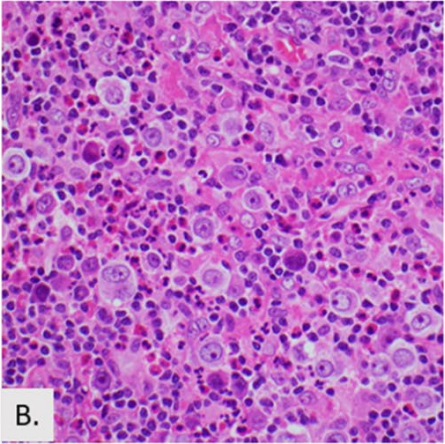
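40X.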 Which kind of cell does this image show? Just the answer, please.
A: Hodgkin-Reed-Sternberg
